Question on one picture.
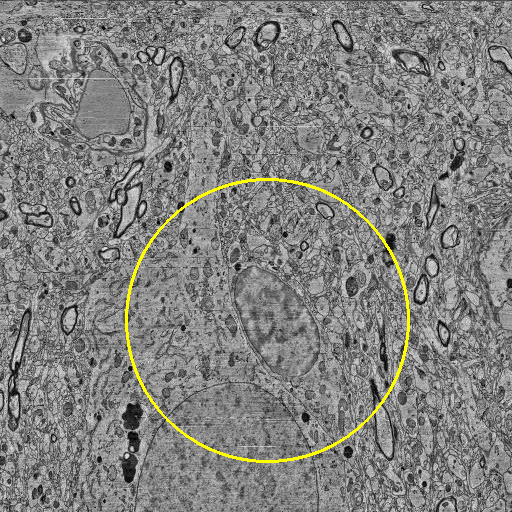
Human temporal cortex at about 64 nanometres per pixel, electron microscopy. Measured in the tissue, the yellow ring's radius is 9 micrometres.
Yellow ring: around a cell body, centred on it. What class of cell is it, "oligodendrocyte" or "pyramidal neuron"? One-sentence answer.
This is an oligodendrocyte, the cell the ring is centred on.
